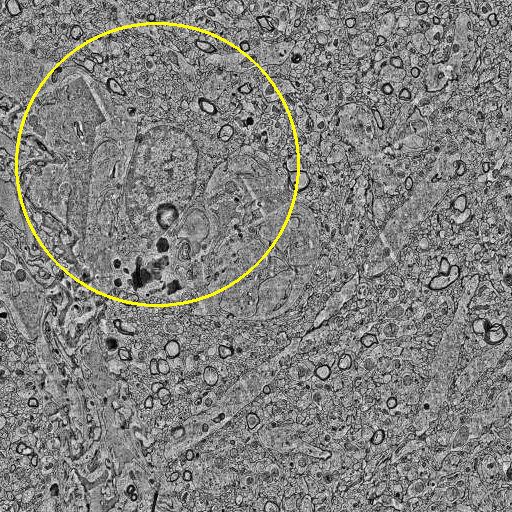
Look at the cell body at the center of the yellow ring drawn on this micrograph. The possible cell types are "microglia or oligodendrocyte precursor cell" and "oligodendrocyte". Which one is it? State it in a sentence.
The cell in the middle of the ring is an oligodendrocyte.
